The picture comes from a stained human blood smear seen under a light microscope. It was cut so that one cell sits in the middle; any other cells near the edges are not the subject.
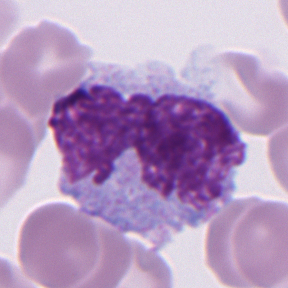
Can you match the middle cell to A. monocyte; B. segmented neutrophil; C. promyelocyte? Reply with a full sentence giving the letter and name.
The middle cell of the crop is a monocyte; accordingly, option A is correct.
